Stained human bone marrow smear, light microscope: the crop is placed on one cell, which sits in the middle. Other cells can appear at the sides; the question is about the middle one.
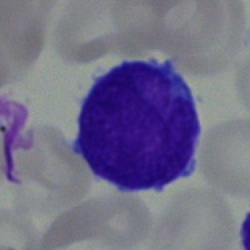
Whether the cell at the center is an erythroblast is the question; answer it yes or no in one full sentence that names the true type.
No, the centre cell is not an erythroblast but a blast.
